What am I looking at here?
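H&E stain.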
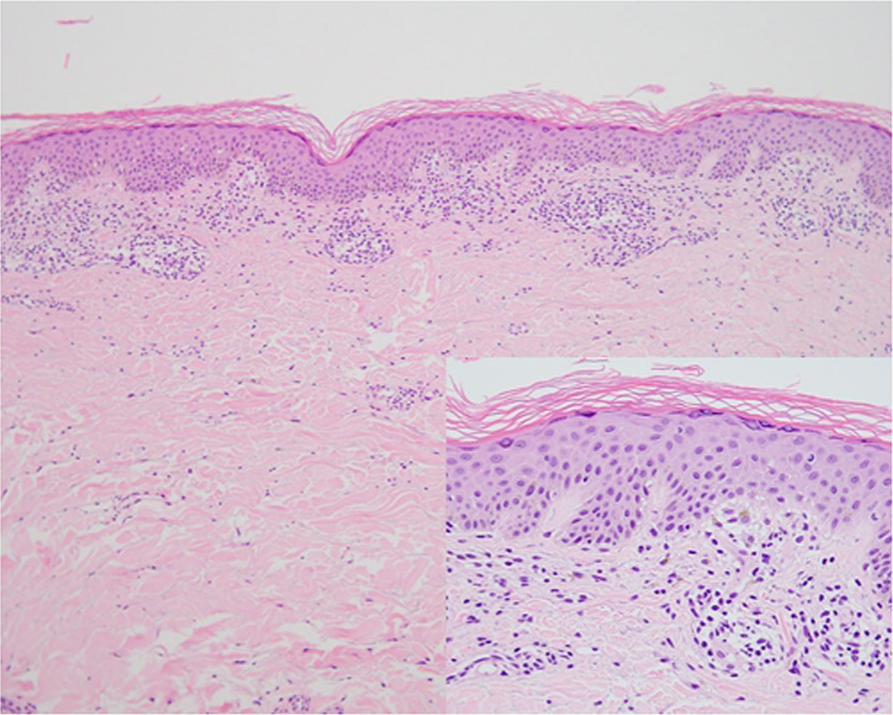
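This is skin with a lichenoid dermatitis pattern. The epidermis is of fairly even thickness. Its surface has a loose, basket-weave layer of pink keratin, and its short rete ridges extend into the dermis. In the upper dermis, dense clusters of small lymphocytes with round dark nuclei gather around vessels and lie close beneath the epidermis. The deeper dermis is made of pale pink collagen bundles with only a few scattered cells. The higher-power inset shows the squamous cells of the epidermis with oval nuclei. Lymphocytes press against the basal layer, which shows small focal clear spaces. A few brown pigment granules lie in the papillary dermis.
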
